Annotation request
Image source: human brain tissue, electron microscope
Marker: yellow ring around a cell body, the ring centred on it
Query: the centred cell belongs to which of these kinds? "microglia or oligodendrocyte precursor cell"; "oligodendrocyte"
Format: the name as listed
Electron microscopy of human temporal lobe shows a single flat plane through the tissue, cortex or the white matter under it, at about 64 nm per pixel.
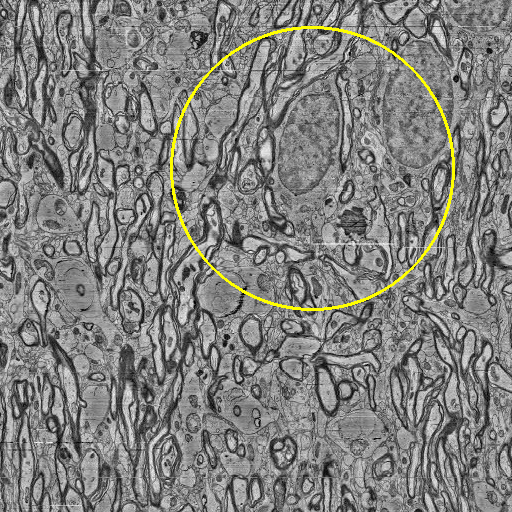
oligodendrocyte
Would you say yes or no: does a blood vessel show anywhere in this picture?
No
